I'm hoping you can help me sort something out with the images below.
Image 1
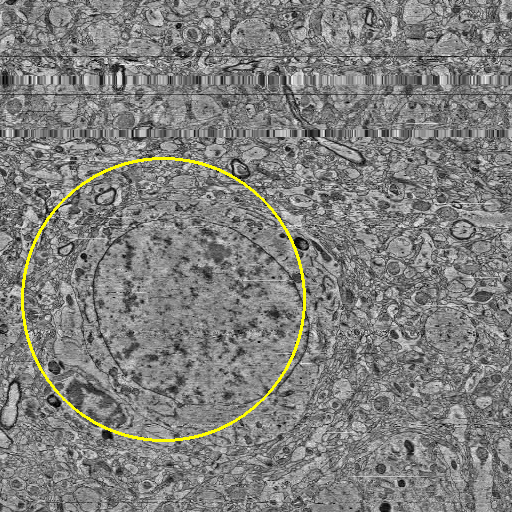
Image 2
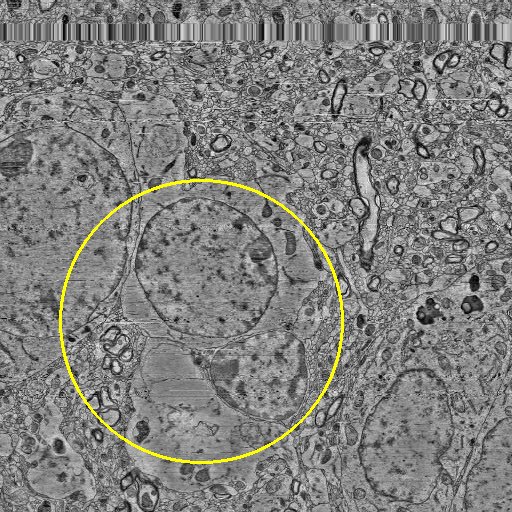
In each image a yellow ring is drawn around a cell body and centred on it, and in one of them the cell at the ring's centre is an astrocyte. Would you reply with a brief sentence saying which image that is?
In Image 2, the cell at the centre of the ring is the one you asked about.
